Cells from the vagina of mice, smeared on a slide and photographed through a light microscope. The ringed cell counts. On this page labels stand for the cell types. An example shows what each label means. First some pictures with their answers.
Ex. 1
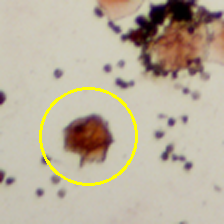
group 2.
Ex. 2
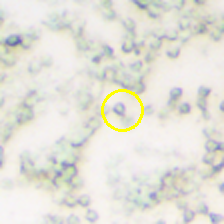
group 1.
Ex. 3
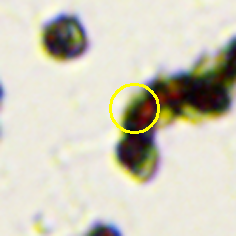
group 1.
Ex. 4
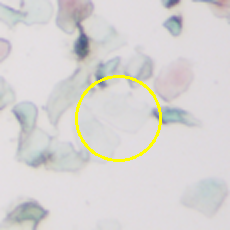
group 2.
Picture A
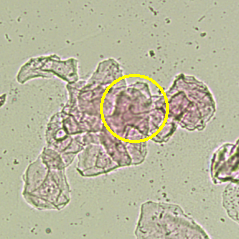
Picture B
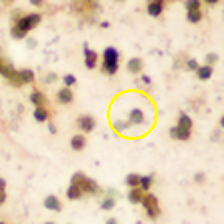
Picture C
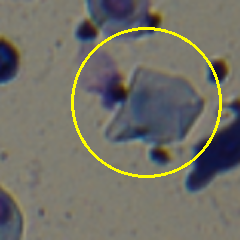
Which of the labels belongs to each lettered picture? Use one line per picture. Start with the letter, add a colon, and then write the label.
A: group 2.
B: group 1.
C: group 2.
